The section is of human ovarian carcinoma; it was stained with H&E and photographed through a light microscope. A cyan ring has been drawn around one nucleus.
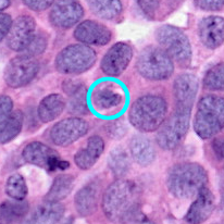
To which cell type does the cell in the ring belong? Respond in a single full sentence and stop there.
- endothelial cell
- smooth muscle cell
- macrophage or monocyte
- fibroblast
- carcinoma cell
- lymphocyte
So far as cell type goes, the cell in the ring is a macrophage or monocyte.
